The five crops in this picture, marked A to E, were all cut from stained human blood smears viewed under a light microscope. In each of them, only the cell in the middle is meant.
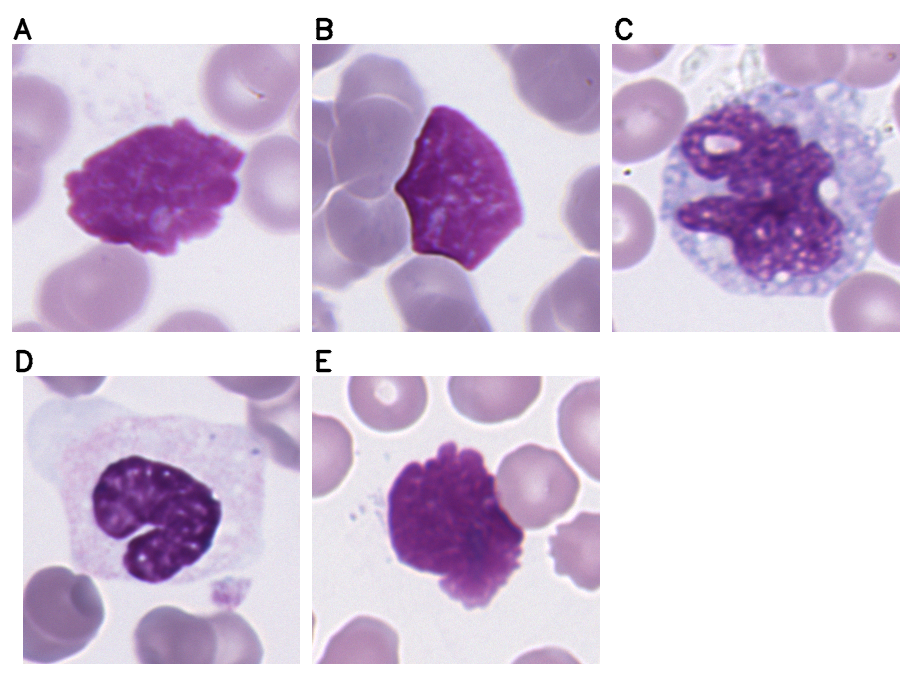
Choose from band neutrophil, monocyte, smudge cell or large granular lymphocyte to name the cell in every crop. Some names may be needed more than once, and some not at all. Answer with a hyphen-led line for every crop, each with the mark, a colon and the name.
- A: smudge cell
- B: smudge cell
- C: monocyte
- D: band neutrophil
- E: smudge cell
